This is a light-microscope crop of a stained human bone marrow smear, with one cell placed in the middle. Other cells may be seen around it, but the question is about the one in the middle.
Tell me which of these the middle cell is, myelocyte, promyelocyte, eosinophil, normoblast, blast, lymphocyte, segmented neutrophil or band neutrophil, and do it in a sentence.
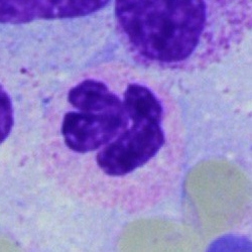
The cell the crop is centered on is a segmented neutrophil.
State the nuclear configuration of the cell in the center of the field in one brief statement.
Its nucleus is lobed, with at least two separate segments.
